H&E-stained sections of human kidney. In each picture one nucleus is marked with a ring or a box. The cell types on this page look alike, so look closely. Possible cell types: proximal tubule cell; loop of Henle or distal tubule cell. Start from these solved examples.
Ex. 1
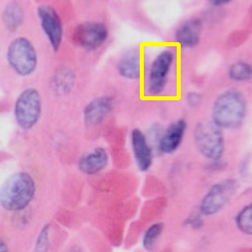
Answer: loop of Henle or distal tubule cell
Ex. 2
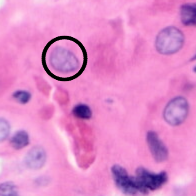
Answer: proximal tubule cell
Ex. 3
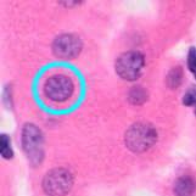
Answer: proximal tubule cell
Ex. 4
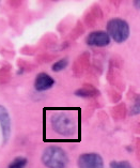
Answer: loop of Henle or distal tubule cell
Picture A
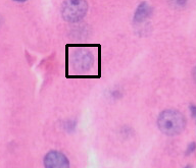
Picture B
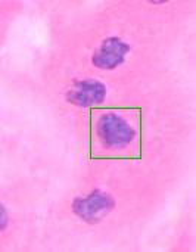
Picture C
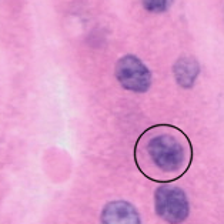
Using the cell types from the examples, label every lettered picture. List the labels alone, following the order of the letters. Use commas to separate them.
proximal tubule cell, proximal tubule cell, proximal tubule cell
